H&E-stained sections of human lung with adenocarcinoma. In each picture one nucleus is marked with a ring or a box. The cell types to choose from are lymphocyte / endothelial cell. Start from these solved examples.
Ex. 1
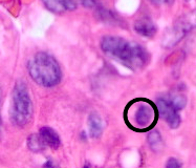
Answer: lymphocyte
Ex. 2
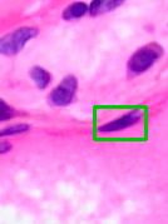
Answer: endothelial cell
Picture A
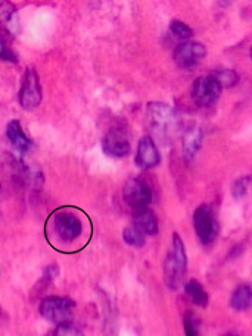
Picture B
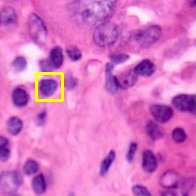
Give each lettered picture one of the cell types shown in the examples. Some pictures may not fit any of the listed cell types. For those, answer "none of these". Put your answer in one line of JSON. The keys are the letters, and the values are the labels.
{"A": "none of these", "B": "lymphocyte"}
